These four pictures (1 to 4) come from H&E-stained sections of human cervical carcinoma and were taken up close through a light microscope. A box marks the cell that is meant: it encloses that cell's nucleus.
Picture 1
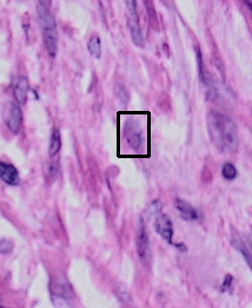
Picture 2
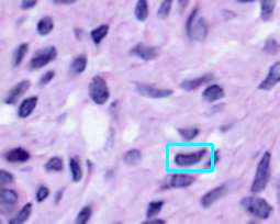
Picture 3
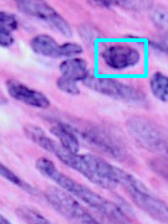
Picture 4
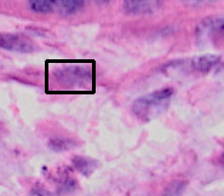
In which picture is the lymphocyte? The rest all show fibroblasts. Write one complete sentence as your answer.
Picture 3 is the one that shows the lymphocyte.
